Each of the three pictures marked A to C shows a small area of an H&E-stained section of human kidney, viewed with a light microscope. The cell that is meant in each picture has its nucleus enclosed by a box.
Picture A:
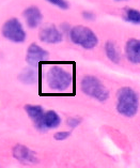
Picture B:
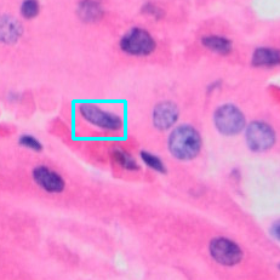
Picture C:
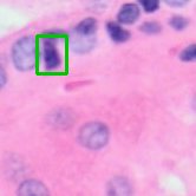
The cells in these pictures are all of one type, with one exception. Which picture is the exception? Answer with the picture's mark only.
B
